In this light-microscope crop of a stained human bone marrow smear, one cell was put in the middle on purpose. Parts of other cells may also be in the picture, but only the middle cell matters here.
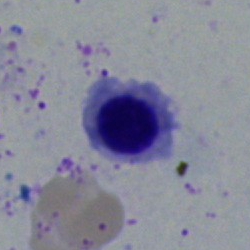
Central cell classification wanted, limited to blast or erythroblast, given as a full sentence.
The cell centered in this field of view is an erythroblast.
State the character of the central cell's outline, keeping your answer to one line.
No smooth contour is present; the border is ragged or extended into projections.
